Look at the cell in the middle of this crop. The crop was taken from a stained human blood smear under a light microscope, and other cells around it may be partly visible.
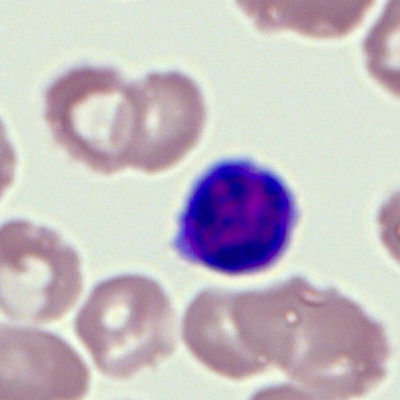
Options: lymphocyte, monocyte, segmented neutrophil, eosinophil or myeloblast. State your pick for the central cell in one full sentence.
The cell occupying the middle of the crop is a lymphocyte.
